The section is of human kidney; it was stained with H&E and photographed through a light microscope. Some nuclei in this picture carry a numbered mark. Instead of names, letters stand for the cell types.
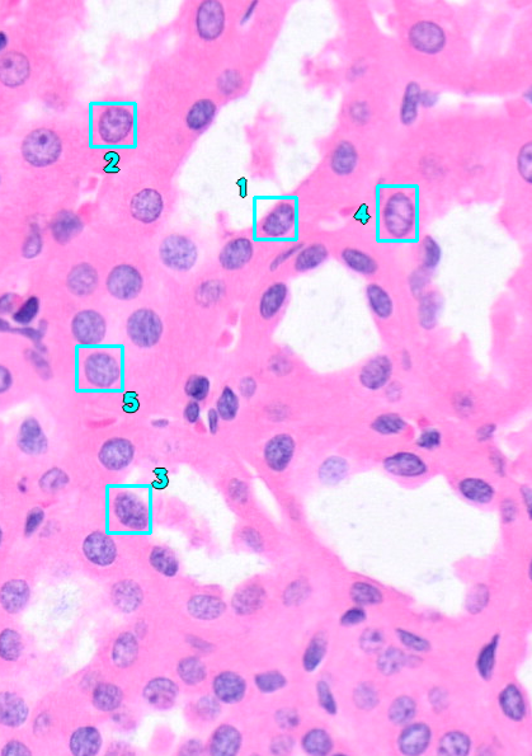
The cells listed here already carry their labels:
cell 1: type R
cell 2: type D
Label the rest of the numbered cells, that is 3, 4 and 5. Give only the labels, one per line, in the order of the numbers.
type R
type D
type R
